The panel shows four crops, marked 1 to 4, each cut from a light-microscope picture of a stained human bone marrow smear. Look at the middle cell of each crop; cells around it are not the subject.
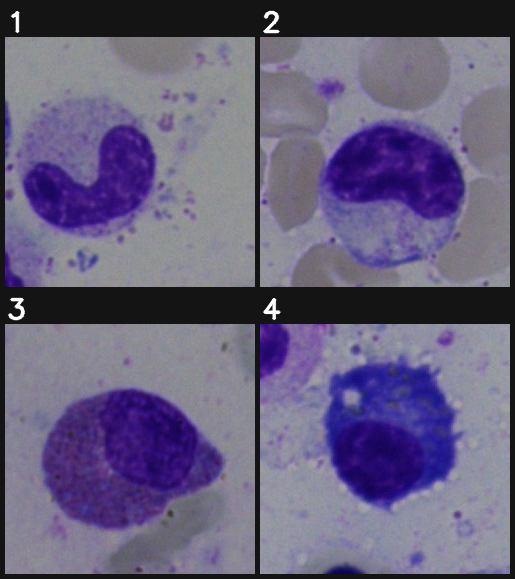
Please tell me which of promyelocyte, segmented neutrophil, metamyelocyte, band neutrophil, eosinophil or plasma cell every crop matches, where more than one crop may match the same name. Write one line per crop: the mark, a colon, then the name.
1: band neutrophil
2: metamyelocyte
3: eosinophil
4: plasma cell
